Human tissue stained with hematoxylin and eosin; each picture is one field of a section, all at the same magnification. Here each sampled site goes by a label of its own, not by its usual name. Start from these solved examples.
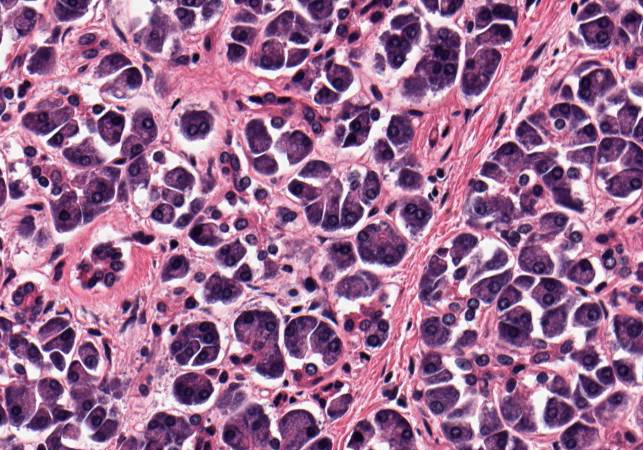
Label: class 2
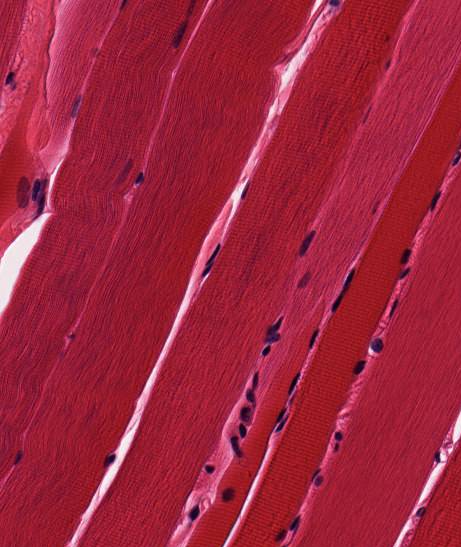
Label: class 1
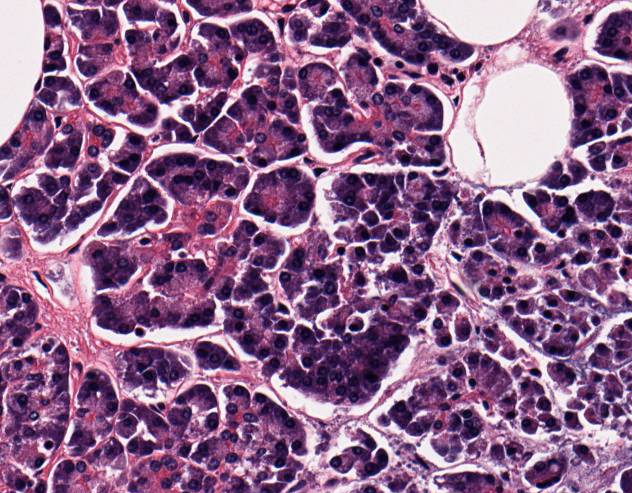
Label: class 2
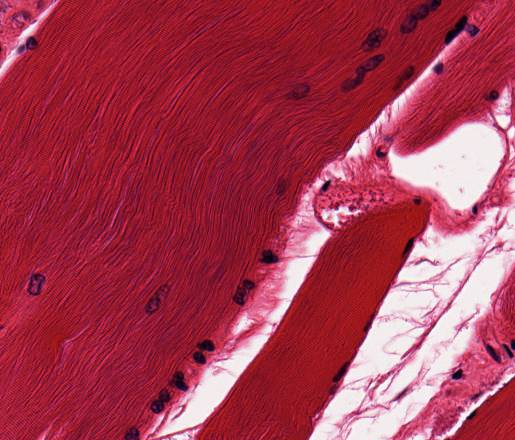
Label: class 1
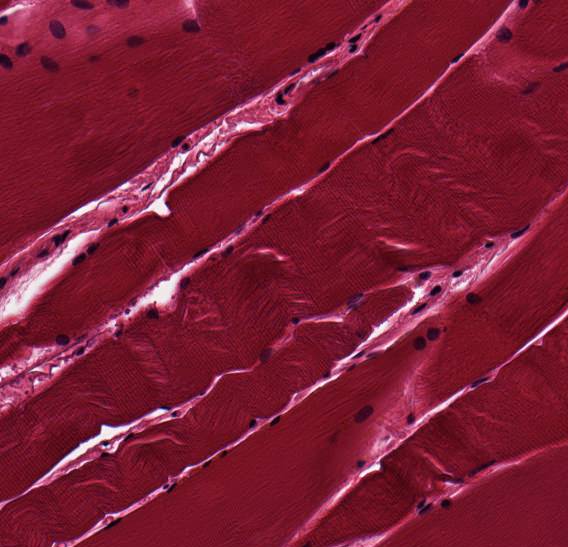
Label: class 1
